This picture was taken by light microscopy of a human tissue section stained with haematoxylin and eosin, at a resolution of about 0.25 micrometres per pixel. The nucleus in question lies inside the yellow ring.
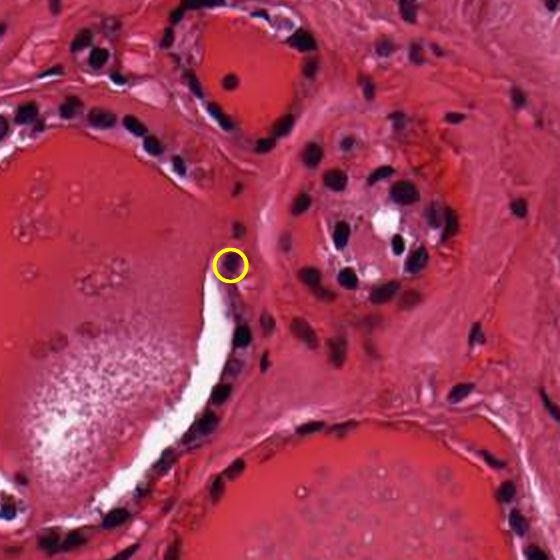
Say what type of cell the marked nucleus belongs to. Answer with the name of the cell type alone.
thyroid follicular cell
